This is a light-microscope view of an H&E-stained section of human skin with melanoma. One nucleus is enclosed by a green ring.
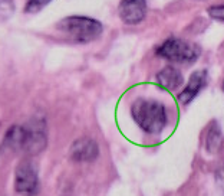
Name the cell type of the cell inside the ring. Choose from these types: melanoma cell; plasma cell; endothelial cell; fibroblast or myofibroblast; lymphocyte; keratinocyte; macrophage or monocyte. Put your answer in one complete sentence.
The cell inside the ring appears to be a melanoma cell.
